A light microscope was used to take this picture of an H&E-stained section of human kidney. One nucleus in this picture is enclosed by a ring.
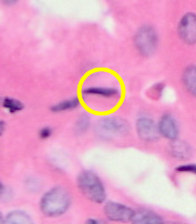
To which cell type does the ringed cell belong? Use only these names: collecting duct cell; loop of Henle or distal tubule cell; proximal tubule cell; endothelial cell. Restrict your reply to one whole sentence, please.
Recorded by type, the ringed cell is an endothelial cell.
